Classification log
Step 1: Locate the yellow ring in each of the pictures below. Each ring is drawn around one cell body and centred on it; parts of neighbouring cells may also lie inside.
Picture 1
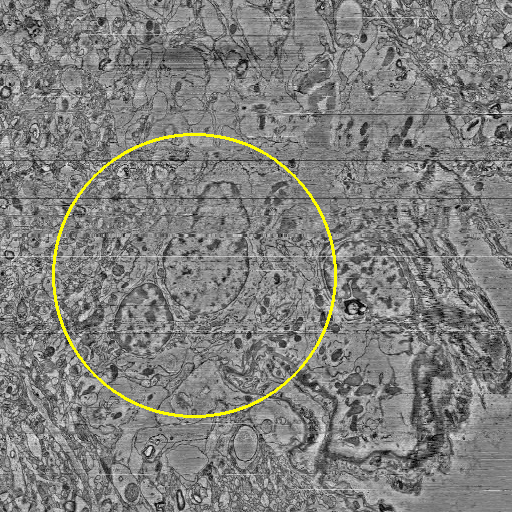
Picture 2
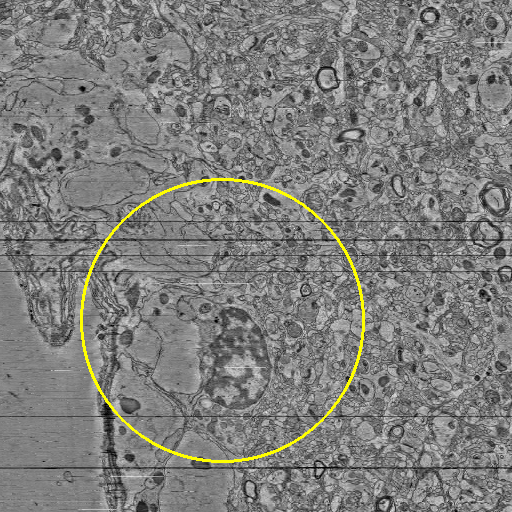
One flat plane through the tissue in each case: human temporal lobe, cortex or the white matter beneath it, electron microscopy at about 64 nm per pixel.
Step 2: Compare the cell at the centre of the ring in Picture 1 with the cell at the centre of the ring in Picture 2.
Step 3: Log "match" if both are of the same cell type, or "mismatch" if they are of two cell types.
match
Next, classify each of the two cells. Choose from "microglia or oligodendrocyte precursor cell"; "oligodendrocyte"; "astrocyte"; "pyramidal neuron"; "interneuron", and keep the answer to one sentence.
Each of the two rings is centred on a microglial cell or oligodendrocyte precursor cell.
